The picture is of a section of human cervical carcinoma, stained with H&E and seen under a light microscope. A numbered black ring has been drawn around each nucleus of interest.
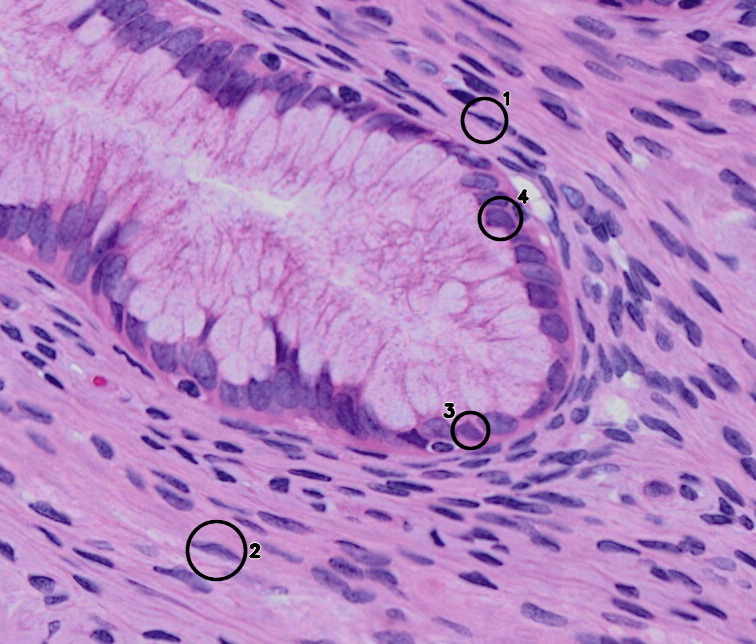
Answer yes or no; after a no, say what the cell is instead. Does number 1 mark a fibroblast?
Yes.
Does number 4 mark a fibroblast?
No, it is a secretory epithelial cell.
